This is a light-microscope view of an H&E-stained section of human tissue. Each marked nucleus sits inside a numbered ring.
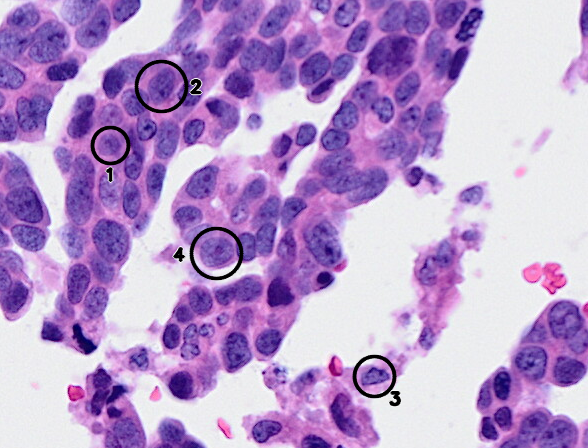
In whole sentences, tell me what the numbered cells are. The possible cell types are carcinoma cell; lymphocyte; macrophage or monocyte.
Cell 1 is a carcinoma cell, cell 2 is a carcinoma cell, cell 3 is a macrophage or monocyte and cell 4 is a carcinoma cell.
